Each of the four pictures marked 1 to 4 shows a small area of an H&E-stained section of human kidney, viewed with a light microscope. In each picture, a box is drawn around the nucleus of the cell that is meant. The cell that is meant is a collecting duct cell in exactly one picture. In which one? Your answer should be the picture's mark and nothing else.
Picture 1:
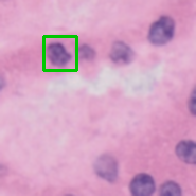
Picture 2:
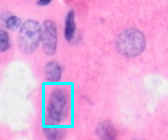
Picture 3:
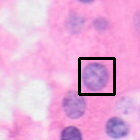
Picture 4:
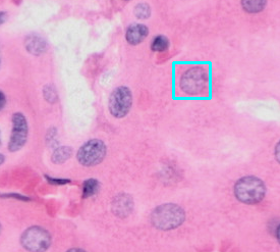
2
